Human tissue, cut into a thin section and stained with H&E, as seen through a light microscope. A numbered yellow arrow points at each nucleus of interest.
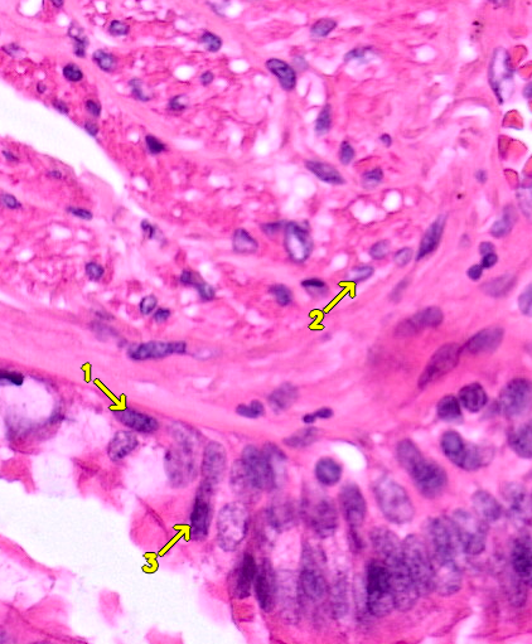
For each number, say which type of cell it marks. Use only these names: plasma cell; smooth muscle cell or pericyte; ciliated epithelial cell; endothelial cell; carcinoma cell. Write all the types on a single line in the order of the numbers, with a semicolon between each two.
ciliated epithelial cell; smooth muscle cell or pericyte; ciliated epithelial cell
